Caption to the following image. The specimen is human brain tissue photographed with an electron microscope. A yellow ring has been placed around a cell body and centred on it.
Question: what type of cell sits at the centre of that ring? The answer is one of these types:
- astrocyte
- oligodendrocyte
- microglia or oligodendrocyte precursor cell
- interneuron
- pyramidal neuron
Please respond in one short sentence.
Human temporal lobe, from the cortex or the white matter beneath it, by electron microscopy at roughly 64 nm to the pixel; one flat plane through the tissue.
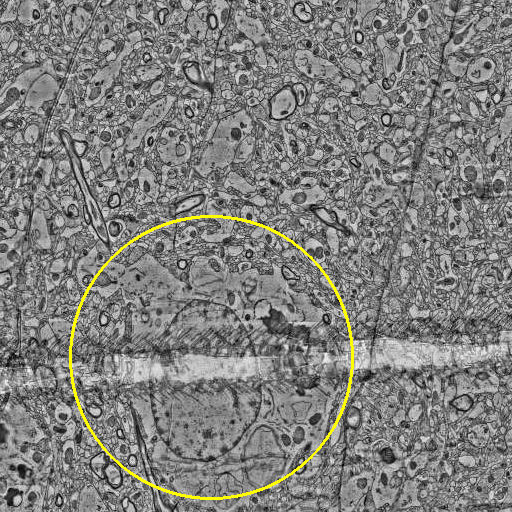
The ring surrounds the cell body of an astrocyte.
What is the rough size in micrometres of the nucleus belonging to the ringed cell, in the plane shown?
Approximately 10 by 7 micrometers in this plane.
